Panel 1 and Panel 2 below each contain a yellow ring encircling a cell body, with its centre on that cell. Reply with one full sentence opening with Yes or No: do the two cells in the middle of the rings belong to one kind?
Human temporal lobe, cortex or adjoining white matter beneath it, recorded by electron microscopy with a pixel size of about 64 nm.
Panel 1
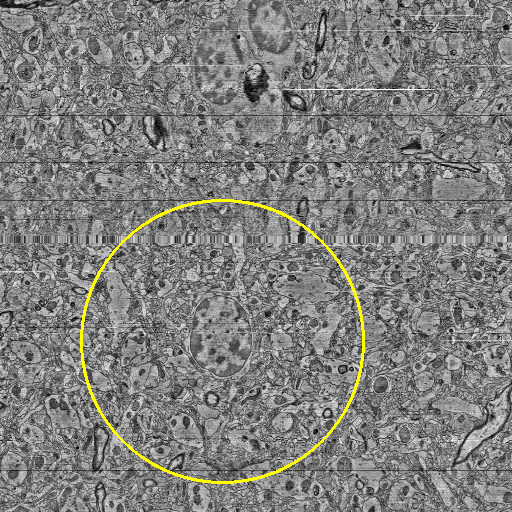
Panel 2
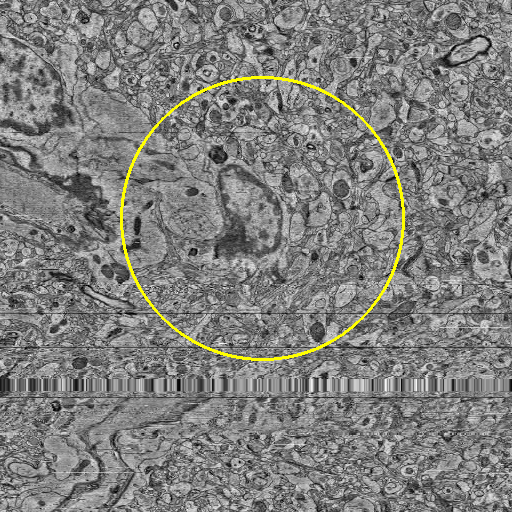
Yes, the cells at the middle of the Panel 1 ring and the Panel 2 ring are of one kind.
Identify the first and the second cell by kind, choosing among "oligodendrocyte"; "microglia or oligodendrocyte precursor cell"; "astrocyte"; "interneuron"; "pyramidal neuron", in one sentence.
In both pictures the ring is centred on a microglial cell or oligodendrocyte precursor cell.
